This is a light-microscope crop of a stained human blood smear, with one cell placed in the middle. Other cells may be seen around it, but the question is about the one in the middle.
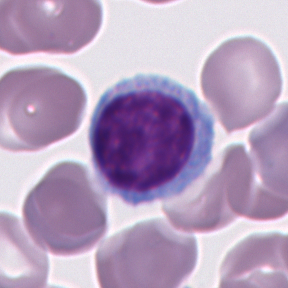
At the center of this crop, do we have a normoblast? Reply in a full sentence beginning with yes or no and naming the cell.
No, rather than being a normoblast, the central cell is a typical lymphocyte.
